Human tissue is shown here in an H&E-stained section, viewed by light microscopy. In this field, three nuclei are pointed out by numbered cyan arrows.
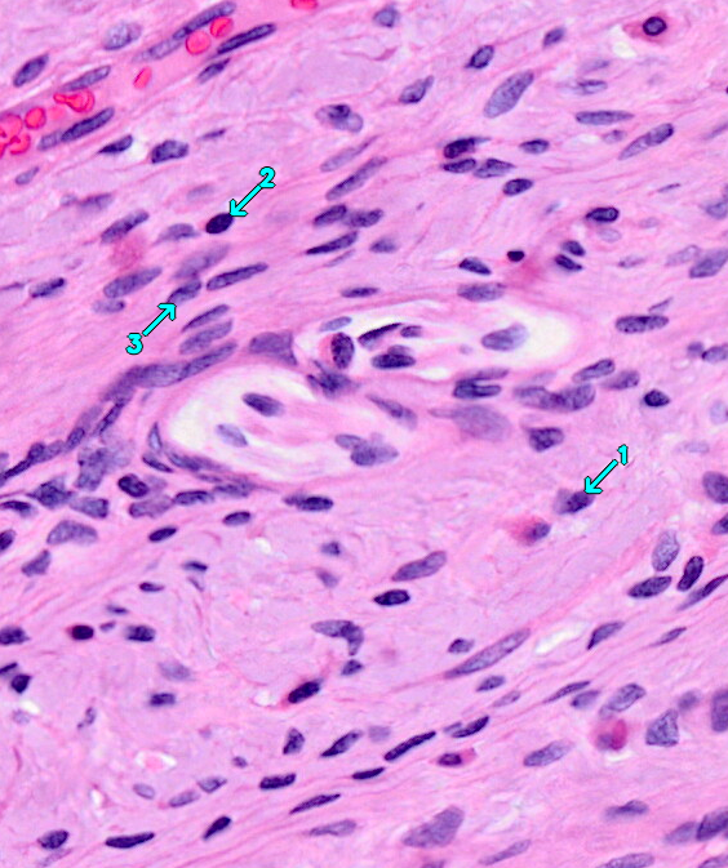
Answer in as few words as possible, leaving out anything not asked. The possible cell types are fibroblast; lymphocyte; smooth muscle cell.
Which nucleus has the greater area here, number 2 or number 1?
1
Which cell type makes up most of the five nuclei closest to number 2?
fibroblast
